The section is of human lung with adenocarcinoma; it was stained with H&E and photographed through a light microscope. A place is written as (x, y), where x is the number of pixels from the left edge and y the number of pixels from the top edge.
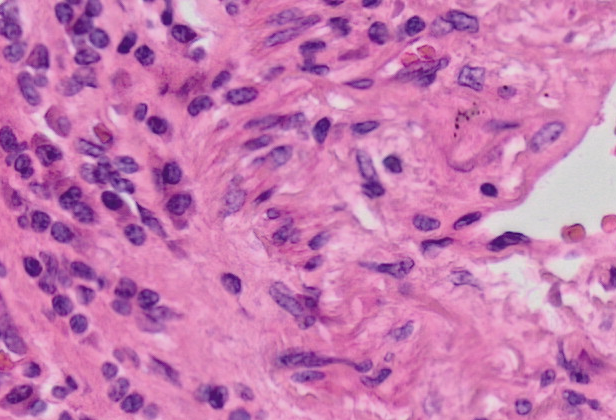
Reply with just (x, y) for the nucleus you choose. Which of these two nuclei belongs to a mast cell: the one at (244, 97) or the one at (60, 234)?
(244, 97)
